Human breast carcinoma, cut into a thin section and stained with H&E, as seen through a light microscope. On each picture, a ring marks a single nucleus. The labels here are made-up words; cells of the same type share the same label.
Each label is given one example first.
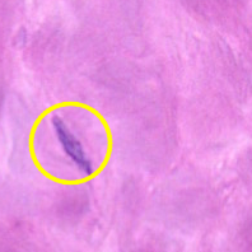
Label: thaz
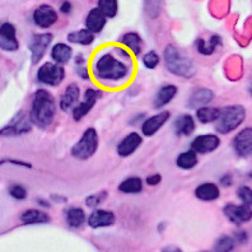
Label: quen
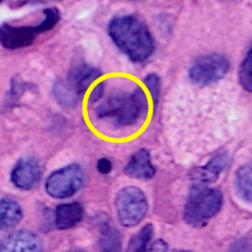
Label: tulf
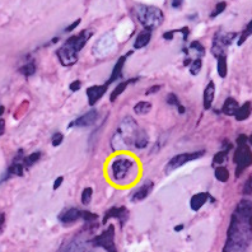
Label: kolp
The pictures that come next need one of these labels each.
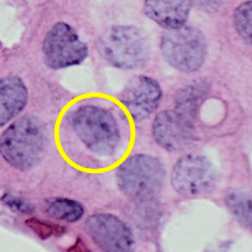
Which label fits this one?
tulf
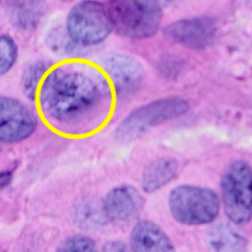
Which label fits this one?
tulf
